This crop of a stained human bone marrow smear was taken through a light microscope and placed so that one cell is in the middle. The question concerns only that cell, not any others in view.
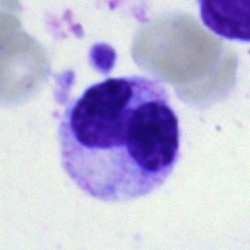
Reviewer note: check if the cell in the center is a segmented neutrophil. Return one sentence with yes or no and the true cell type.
No, the cell in the middle of the crop counts as a band neutrophil and not as a segmented neutrophil.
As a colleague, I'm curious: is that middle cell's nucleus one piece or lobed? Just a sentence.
The nuclear outline breaks up into two or more lobes.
